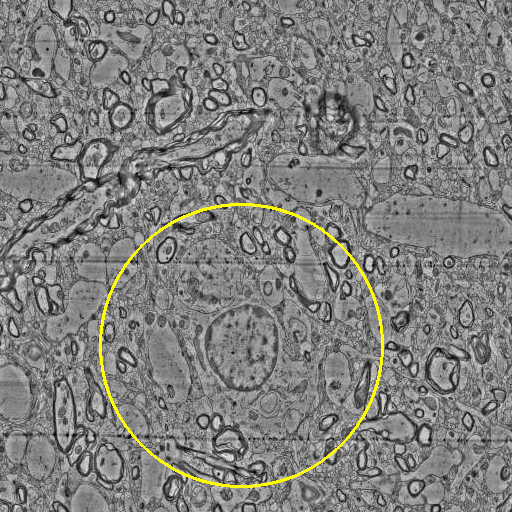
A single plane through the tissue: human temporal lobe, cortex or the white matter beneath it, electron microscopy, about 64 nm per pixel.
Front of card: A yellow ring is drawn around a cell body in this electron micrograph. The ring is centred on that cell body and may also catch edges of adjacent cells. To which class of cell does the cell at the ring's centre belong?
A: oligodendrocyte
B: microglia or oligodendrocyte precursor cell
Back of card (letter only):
B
